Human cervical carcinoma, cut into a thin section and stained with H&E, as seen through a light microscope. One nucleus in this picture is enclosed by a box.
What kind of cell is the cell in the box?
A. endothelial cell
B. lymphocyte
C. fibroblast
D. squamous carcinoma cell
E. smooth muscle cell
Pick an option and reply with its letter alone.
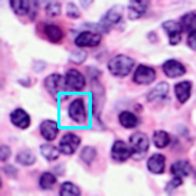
B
